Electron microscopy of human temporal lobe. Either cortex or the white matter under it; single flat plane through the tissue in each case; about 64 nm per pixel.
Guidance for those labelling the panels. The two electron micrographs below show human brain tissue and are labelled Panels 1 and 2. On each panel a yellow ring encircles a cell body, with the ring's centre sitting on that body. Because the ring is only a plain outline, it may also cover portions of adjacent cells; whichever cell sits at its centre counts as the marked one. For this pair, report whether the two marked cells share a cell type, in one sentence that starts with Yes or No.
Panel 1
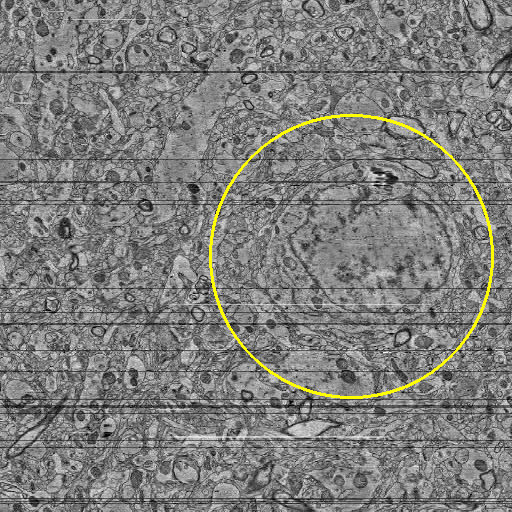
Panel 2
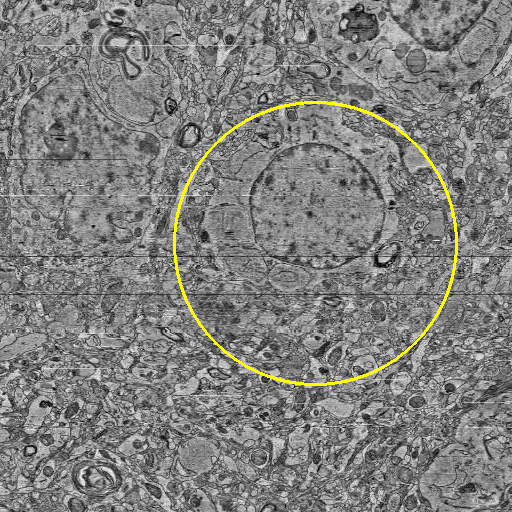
No, in Panel 1 and Panel 2 the marked cells at the ring centres are of two types.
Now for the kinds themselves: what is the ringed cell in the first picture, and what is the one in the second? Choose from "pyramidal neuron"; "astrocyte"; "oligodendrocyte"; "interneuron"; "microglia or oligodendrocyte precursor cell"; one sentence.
Here the first cell is an interneuron and the second cell is an astrocyte.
